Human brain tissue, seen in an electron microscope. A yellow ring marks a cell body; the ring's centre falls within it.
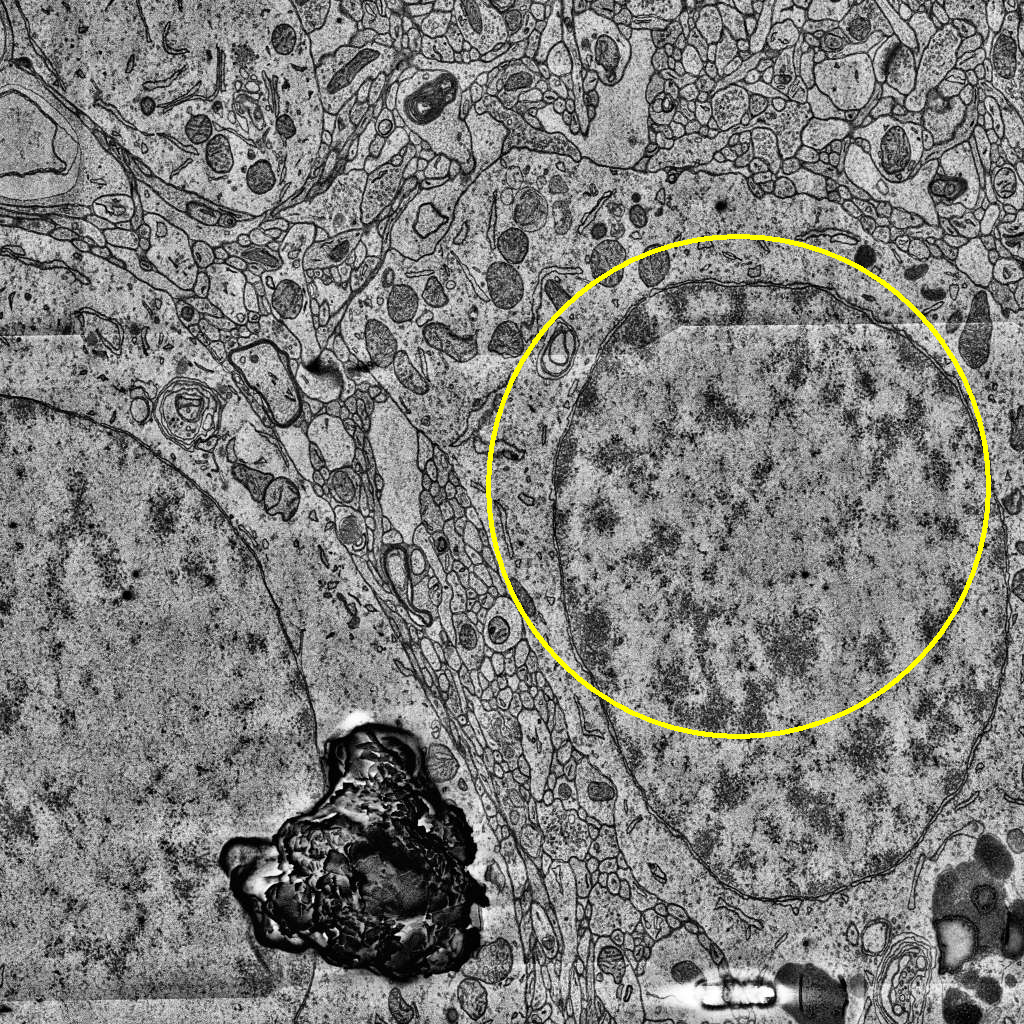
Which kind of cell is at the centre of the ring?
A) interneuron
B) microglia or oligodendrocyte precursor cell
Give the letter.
A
